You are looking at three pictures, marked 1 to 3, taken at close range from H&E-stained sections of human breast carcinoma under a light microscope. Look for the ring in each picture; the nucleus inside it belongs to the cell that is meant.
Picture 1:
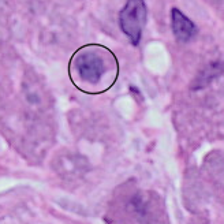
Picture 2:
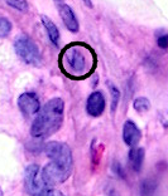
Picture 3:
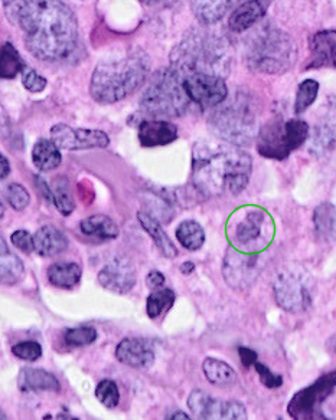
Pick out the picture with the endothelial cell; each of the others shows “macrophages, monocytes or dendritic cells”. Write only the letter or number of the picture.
2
